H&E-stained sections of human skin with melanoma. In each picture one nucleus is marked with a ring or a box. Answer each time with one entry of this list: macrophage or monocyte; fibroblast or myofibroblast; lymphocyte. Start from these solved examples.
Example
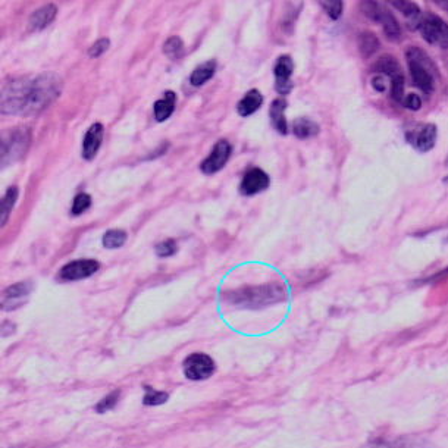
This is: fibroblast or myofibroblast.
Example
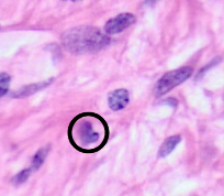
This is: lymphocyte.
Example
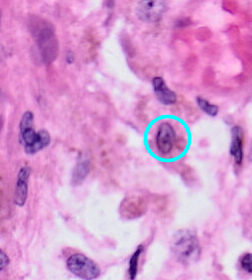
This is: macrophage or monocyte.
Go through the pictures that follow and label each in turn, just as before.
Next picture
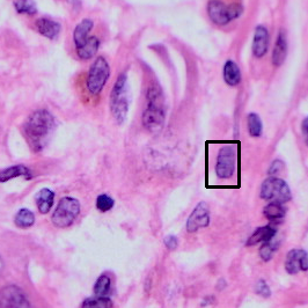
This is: macrophage or monocyte.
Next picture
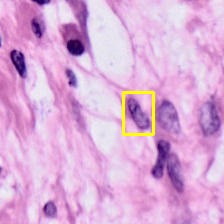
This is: macrophage or monocyte.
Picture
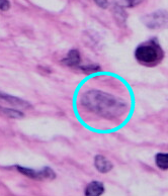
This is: fibroblast or myofibroblast.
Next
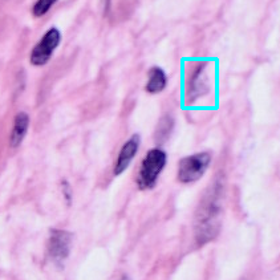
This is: fibroblast or myofibroblast.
